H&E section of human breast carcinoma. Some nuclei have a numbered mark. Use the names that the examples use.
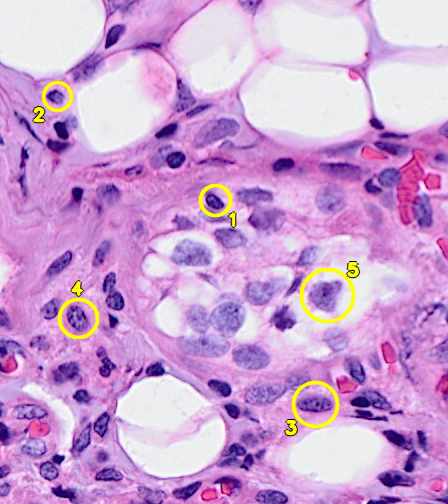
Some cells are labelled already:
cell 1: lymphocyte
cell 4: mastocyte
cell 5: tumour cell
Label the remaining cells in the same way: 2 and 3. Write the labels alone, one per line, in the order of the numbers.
mastocyte
mastocyte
